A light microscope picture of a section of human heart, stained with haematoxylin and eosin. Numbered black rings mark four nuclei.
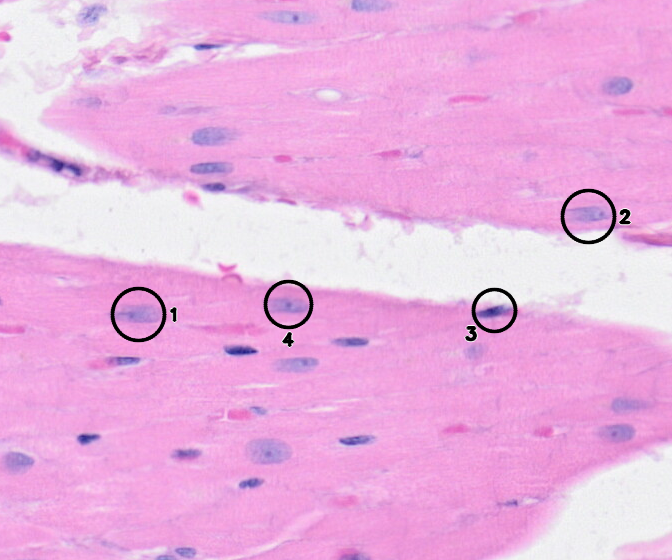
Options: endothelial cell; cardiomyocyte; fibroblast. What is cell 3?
endothelial cell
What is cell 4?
cardiomyocyte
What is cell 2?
cardiomyocyte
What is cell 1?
cardiomyocyte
